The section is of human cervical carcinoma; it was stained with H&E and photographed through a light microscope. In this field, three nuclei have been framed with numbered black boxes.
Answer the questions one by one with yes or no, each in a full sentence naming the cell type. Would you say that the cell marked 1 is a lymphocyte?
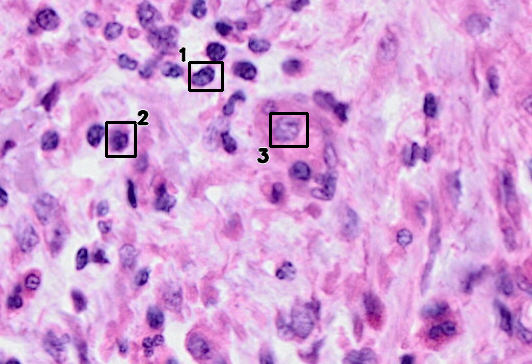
Yes, number 1 is assigned to a cell that is a lymphocyte.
